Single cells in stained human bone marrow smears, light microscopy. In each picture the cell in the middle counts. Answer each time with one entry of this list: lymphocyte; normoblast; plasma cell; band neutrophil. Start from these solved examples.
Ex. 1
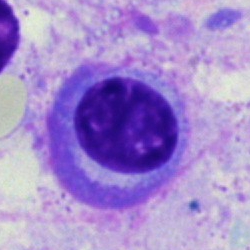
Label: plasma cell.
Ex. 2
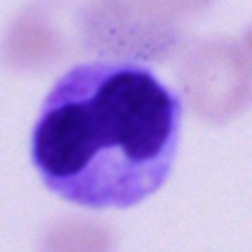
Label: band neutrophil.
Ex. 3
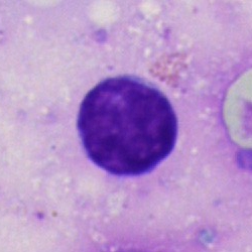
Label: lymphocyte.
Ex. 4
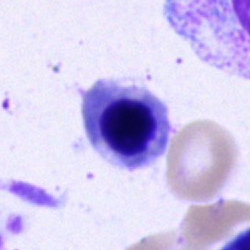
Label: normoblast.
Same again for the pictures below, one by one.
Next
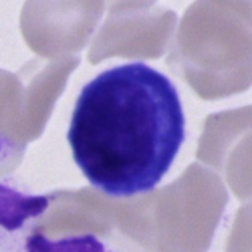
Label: plasma cell.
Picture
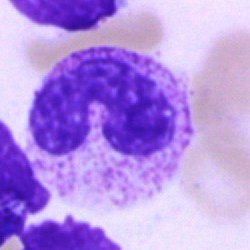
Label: band neutrophil.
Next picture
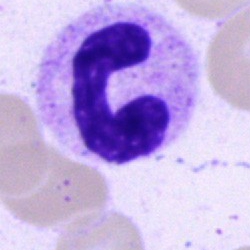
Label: band neutrophil.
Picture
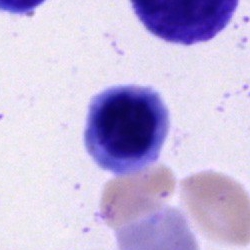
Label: normoblast.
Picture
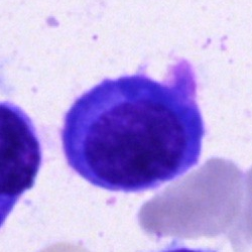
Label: plasma cell.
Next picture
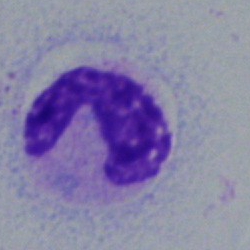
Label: band neutrophil.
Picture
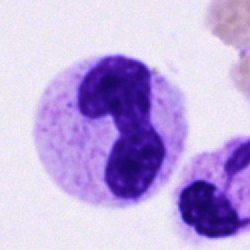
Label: band neutrophil.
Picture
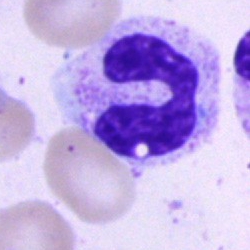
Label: band neutrophil.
